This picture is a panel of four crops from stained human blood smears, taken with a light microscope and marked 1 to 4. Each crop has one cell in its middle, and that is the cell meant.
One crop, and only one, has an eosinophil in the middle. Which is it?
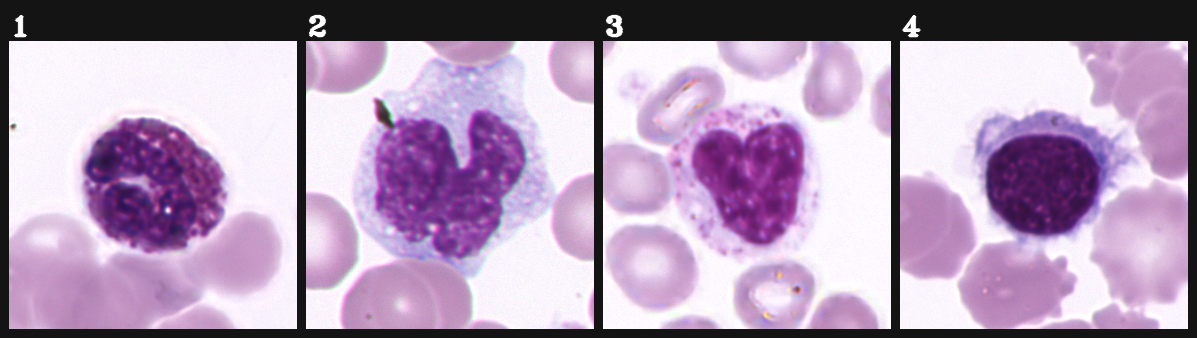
1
